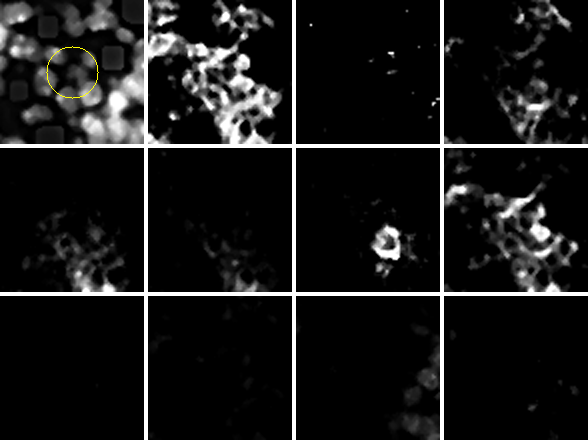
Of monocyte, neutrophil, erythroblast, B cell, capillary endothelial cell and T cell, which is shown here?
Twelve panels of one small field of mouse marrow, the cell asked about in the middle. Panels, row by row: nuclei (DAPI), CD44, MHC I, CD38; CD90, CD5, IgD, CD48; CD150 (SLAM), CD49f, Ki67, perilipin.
neutrophil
